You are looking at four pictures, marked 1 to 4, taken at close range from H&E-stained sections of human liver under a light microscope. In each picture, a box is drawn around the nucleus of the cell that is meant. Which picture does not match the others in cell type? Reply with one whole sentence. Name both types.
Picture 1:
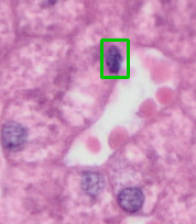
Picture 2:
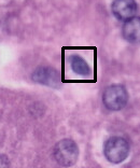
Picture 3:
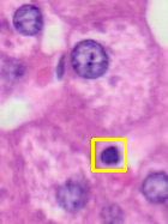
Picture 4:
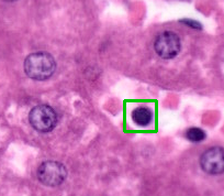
Picture 1 is the odd one out: it shows a “fibroblast or stellate cell”, while the others show lymphocytes.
